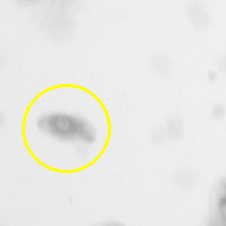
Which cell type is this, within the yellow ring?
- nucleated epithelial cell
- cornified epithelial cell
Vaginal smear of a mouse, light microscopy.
Within the ring is a nucleated epithelial cell.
